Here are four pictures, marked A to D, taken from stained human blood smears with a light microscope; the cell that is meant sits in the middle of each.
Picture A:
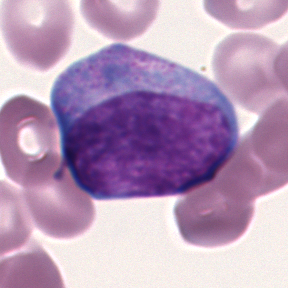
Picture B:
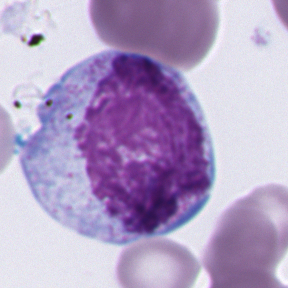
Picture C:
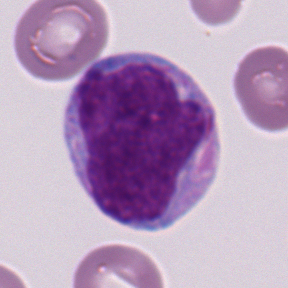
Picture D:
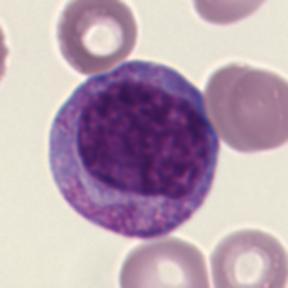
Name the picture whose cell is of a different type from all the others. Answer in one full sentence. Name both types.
Picture B differs, because its cell is a myelocyte and the rest are atypical promyelocytes.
